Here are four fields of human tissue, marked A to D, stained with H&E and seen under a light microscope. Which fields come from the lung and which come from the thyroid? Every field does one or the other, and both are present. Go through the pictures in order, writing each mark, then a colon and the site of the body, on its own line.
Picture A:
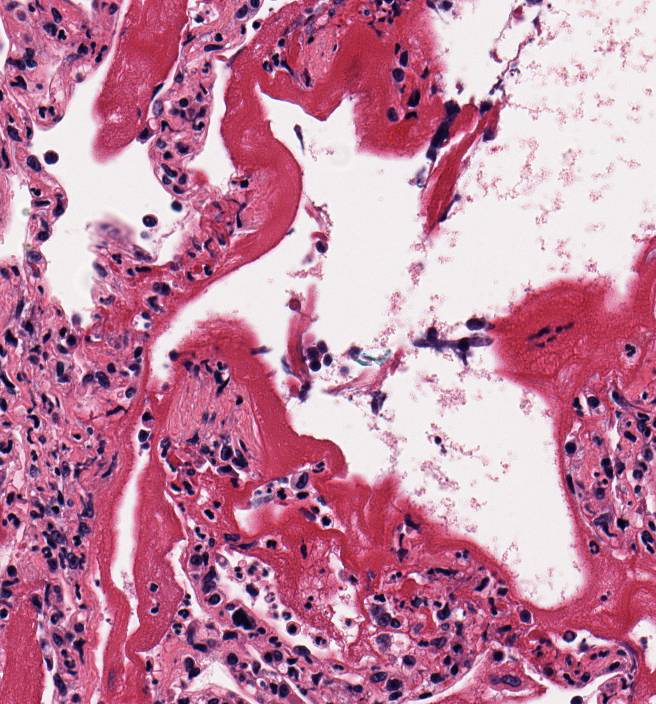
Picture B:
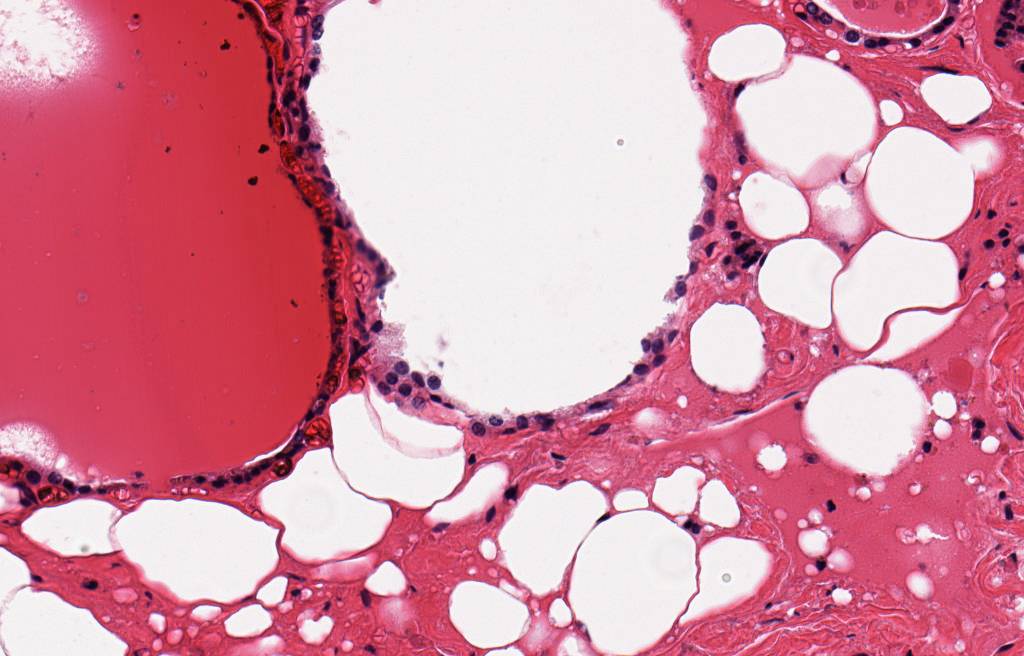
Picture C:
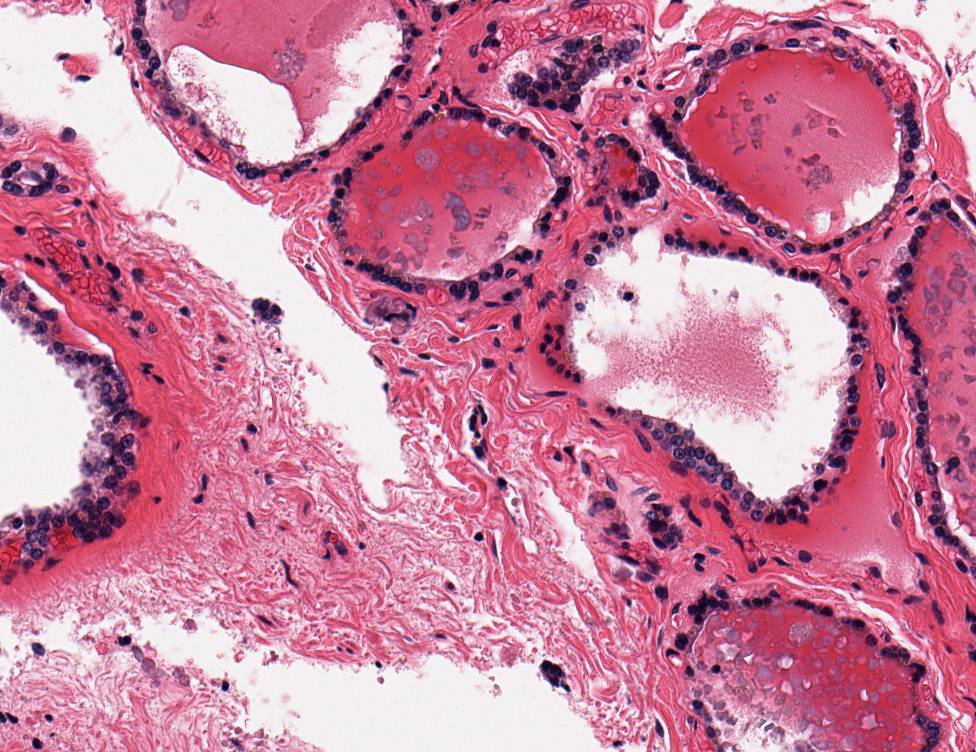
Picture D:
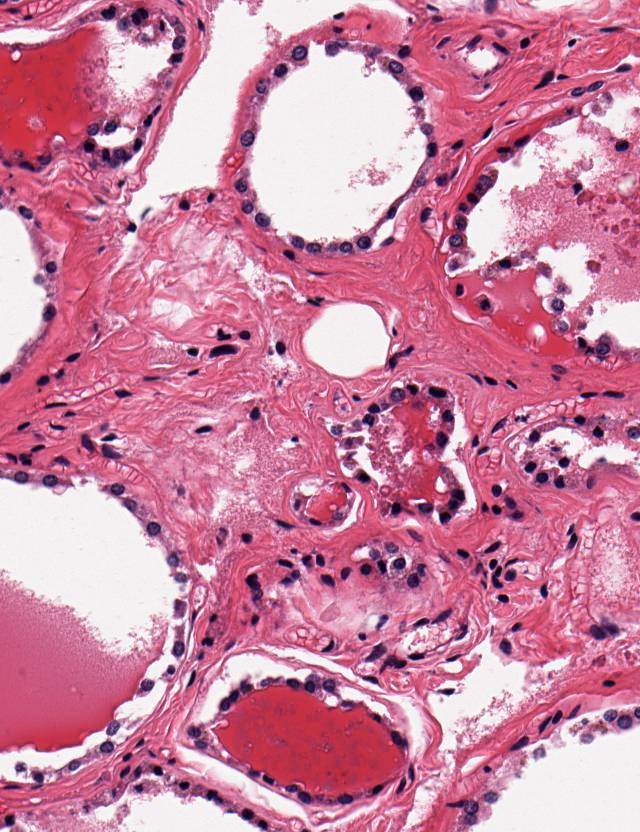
A: lung
B: thyroid
C: thyroid
D: thyroid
